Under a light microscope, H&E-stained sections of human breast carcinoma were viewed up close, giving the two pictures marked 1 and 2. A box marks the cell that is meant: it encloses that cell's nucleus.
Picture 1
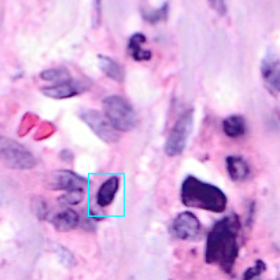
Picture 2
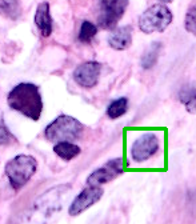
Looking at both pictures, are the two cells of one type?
yes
